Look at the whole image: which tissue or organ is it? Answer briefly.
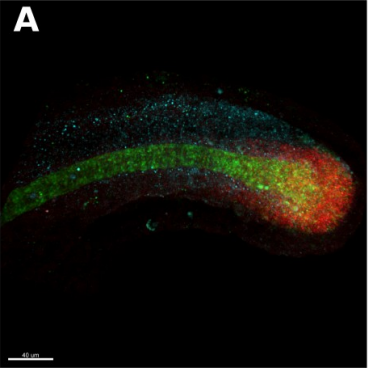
Tail bud.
